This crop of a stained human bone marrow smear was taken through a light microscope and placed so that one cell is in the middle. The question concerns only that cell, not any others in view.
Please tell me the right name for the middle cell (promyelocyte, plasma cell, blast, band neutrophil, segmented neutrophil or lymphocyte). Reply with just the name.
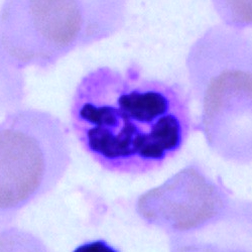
segmented neutrophil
